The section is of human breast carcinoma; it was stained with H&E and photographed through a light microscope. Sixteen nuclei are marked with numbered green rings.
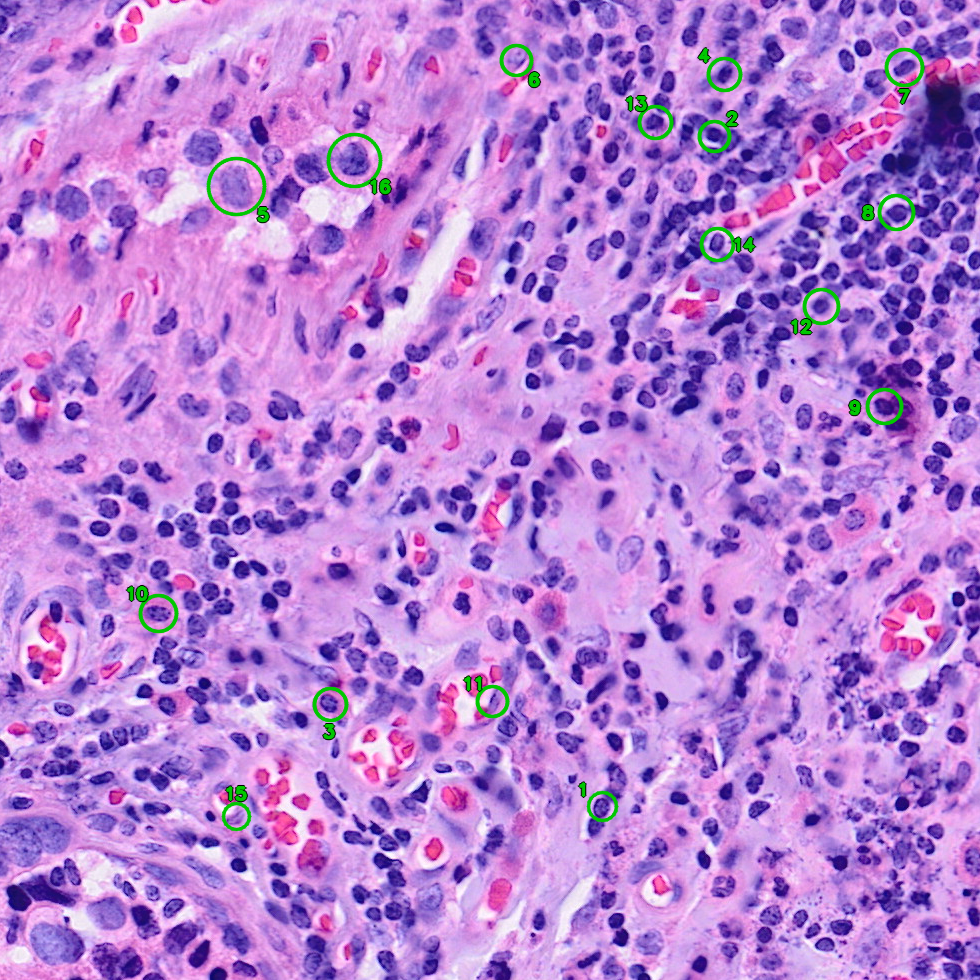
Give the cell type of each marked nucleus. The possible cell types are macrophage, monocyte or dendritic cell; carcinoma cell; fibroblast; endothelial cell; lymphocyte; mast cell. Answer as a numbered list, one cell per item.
1. lymphocyte
2. lymphocyte
3. mast cell
4. lymphocyte
5. carcinoma cell
6. endothelial cell
7. lymphocyte
8. lymphocyte
9. lymphocyte
10. mast cell
11. endothelial cell
12. lymphocyte
13. lymphocyte
14. lymphocyte
15. endothelial cell
16. carcinoma cell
